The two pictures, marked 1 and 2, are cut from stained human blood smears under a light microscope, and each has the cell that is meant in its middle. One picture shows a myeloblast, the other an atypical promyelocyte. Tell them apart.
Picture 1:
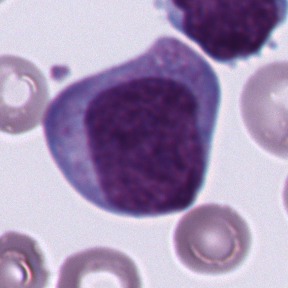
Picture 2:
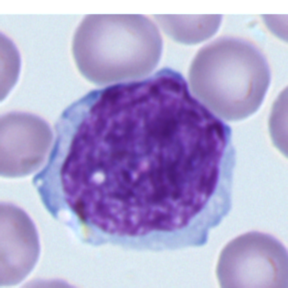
1: atypical promyelocyte
2: myeloblast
